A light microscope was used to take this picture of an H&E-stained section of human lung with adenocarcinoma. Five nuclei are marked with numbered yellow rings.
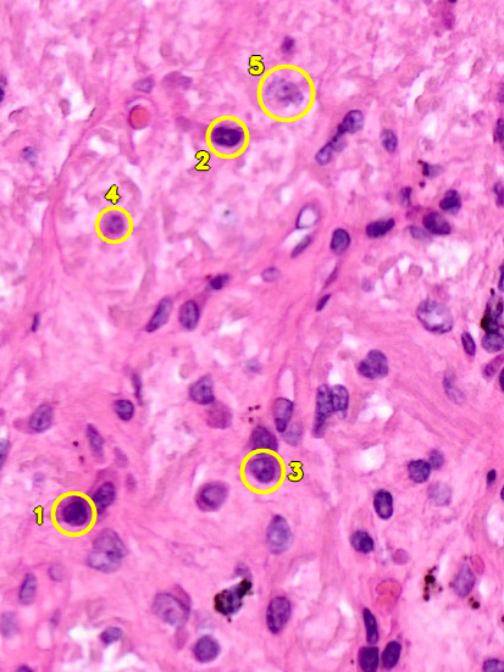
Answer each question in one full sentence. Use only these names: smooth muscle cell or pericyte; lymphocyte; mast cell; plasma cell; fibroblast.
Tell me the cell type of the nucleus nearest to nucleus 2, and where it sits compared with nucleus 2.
Lying above and to the right of nucleus 2, the nearest nucleus is that of a fibroblast.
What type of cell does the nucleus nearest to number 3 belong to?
The nucleus nearest to number 3 is that of a plasma cell.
